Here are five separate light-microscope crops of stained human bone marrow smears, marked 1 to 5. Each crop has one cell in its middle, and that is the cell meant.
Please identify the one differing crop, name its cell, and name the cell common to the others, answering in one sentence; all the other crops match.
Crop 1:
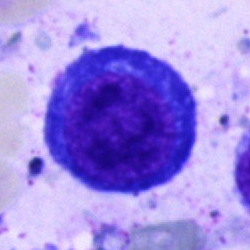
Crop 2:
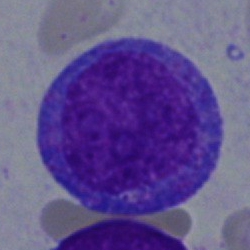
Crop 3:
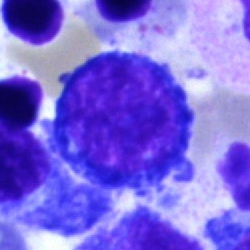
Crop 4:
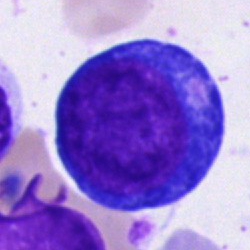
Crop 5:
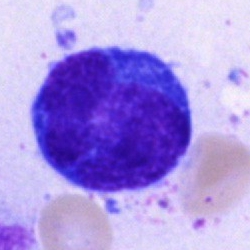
The set is made up of proerythroblasts, with the single exception of crop 2, which is a promyelocyte.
